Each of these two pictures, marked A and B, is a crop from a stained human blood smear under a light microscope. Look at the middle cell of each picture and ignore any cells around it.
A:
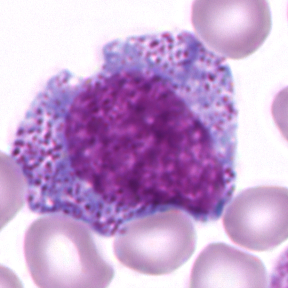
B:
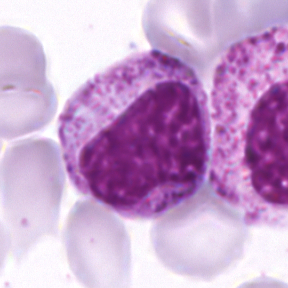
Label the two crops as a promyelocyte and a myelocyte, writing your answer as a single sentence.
Crop A should be reported as a promyelocyte, and crop B as a myelocyte.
